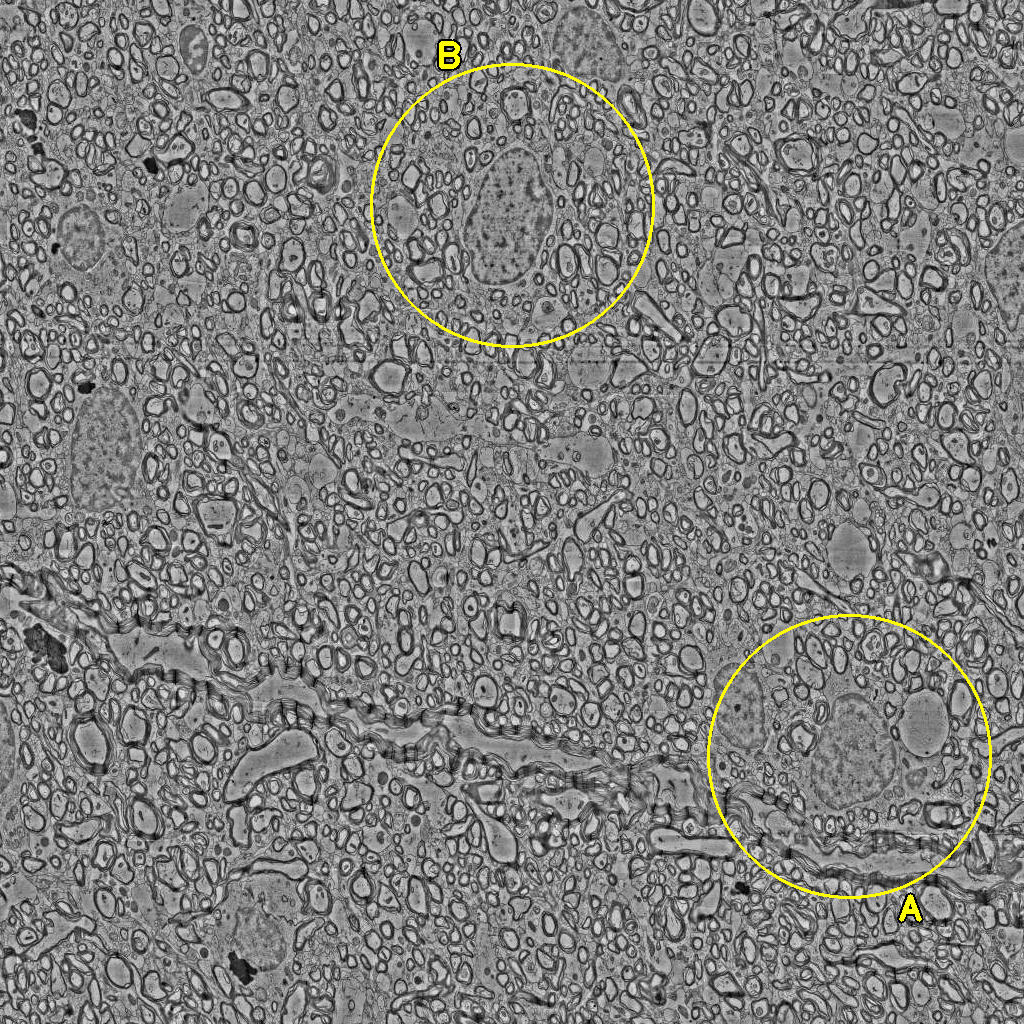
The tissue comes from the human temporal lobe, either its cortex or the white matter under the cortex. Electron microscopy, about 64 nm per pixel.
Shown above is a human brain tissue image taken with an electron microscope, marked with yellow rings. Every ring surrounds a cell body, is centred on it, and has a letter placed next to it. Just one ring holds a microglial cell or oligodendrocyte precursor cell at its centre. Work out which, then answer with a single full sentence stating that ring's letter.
Ring B is the one whose centre holds a cell of that kind.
